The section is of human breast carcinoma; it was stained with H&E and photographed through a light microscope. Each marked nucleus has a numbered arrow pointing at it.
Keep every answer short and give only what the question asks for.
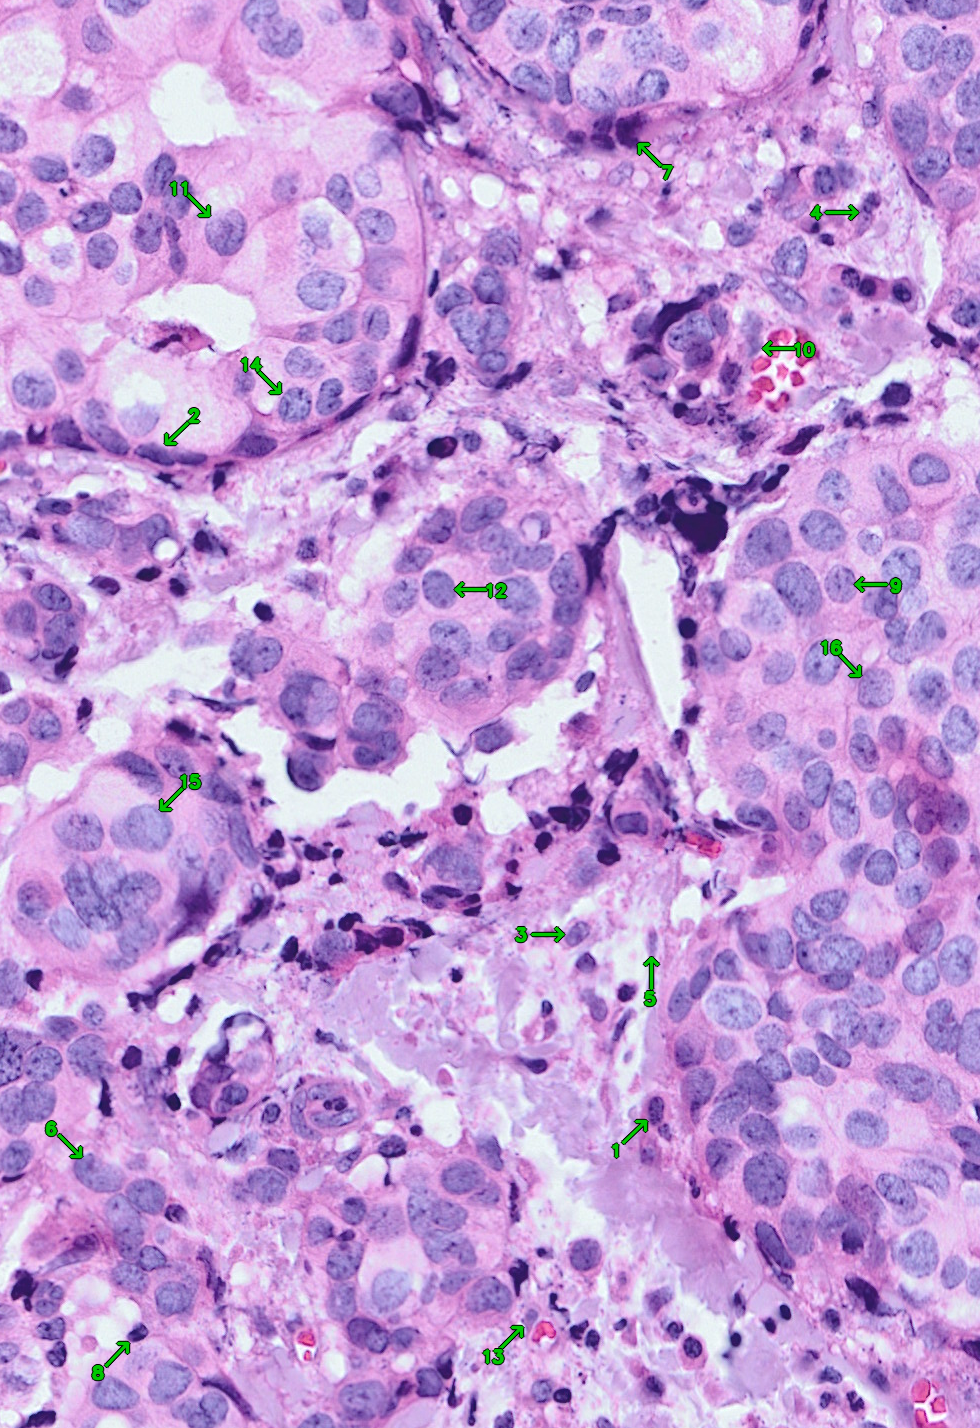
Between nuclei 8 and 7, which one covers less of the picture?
8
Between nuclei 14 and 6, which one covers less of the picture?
14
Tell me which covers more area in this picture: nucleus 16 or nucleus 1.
16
